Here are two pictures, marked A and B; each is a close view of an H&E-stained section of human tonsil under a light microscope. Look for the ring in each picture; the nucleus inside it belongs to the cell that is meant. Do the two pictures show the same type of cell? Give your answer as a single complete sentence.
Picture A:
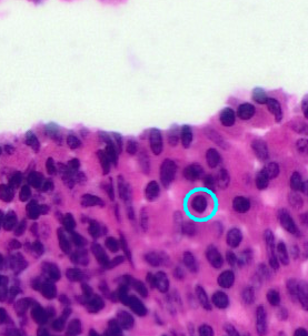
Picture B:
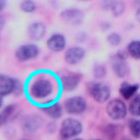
No; the cell in picture A is a plasma cell, while the one in picture B is a small lymphocyte.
